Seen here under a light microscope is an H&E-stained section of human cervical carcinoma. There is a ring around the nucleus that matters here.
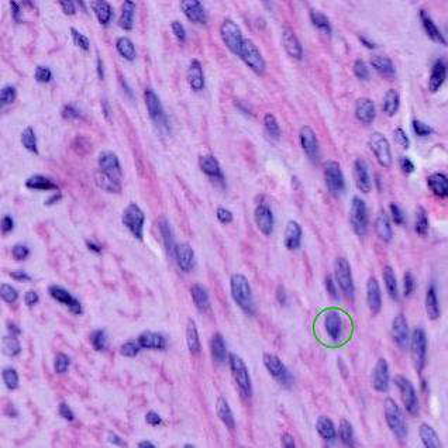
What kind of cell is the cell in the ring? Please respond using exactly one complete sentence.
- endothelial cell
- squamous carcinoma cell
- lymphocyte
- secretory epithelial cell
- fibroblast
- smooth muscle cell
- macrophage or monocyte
The identity of the cell in the ring is that of a smooth muscle cell.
